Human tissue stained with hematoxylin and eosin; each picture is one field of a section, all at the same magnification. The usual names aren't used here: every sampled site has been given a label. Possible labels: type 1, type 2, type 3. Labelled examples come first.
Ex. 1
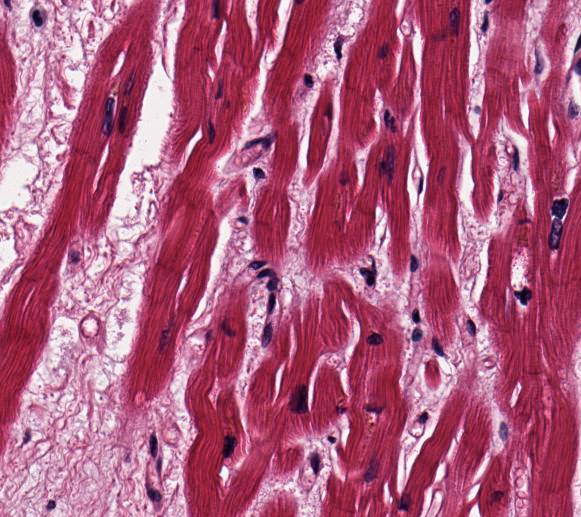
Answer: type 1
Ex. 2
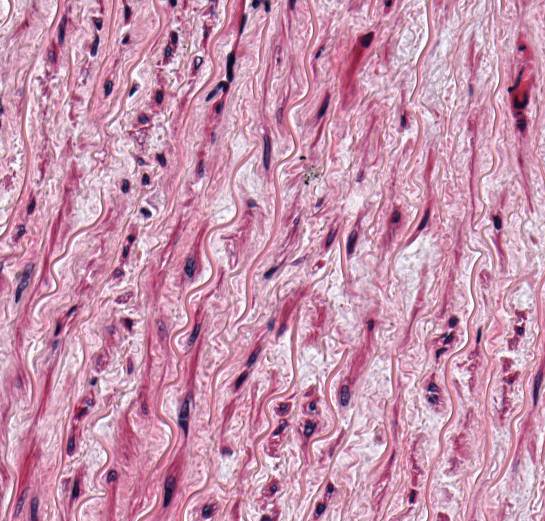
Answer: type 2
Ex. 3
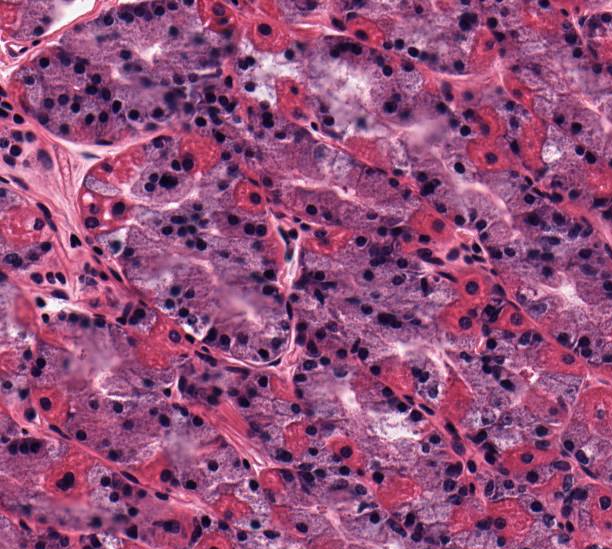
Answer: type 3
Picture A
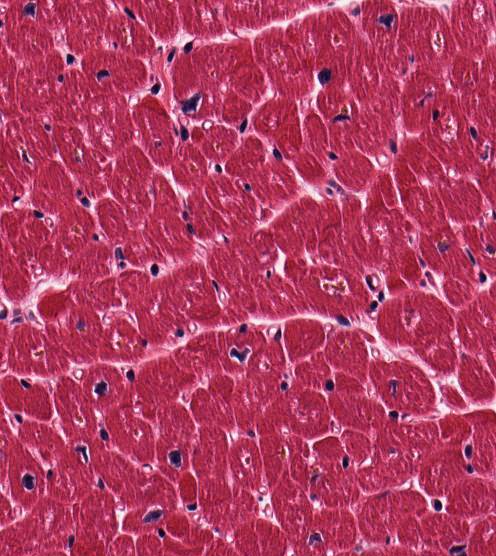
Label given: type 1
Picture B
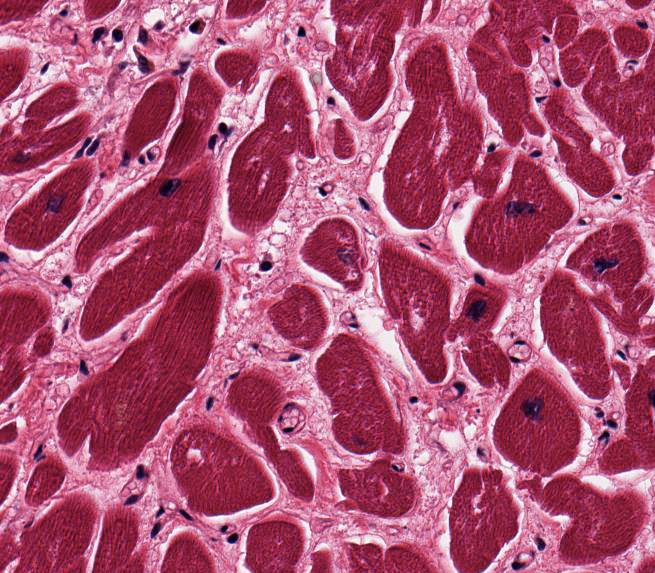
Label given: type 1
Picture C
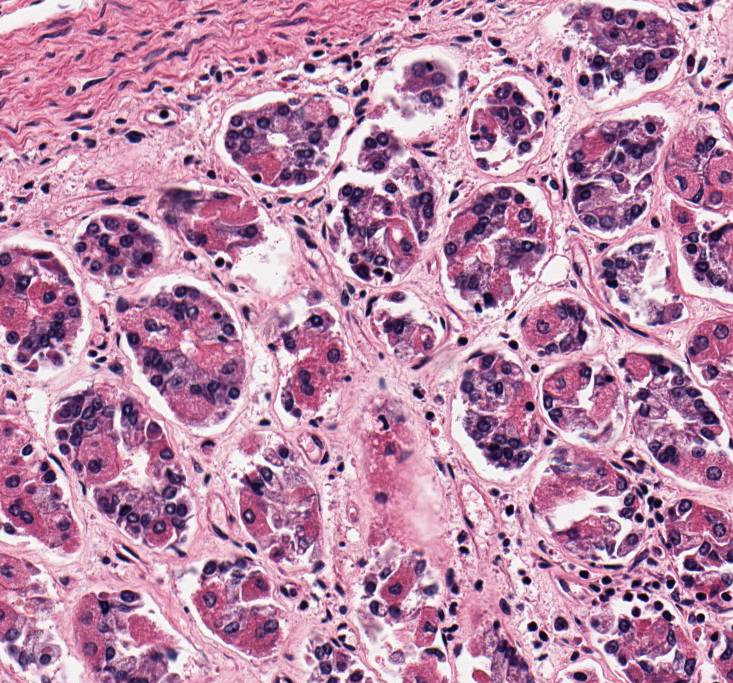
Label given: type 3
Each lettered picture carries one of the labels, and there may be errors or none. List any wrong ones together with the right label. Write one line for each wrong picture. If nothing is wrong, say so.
All labels are correct.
